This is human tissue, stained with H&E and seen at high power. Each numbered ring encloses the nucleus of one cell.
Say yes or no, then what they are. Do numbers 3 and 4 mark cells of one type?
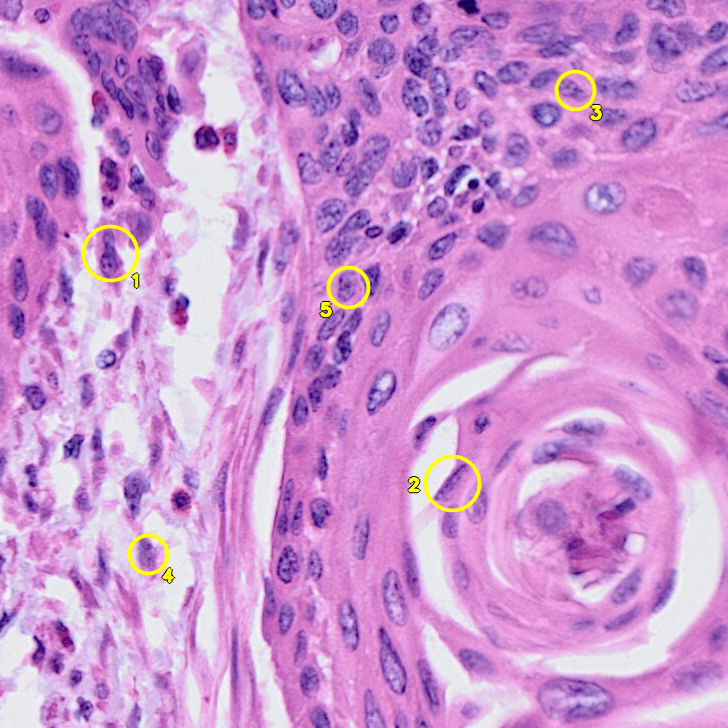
No, cell 3 is a squamous carcinoma cell and cell 4 is a fibroblast.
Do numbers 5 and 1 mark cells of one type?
No, cell 5 is a squamous carcinoma cell and cell 1 is a macrophage or monocyte.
